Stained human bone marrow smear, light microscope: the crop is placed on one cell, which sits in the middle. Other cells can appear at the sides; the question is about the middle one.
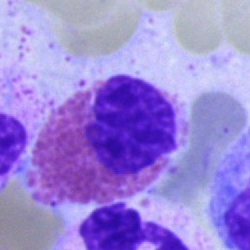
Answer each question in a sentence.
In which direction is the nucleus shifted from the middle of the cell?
Seen from the middle of the cell, the nucleus lies toward the upper right.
